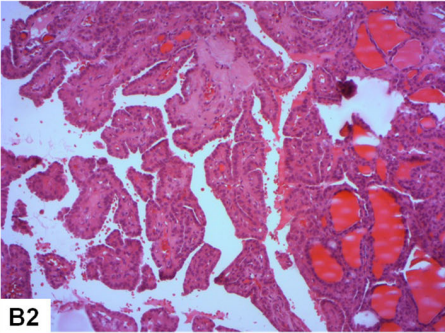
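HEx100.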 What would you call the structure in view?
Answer: Complex papillae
